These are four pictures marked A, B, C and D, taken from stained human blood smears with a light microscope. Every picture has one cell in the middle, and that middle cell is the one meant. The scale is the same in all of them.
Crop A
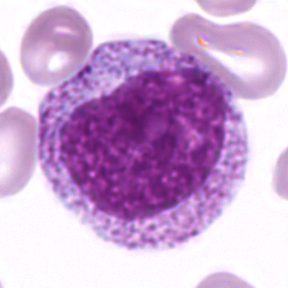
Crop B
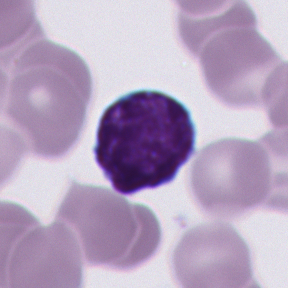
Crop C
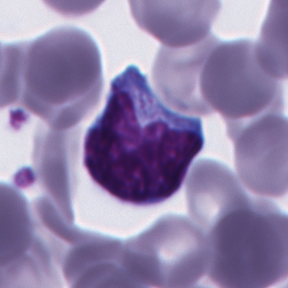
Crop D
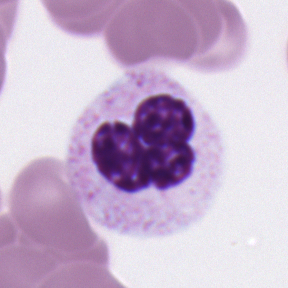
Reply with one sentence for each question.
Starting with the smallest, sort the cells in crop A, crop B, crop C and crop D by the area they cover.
The order is B, C, D, A, beginning with the smallest.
